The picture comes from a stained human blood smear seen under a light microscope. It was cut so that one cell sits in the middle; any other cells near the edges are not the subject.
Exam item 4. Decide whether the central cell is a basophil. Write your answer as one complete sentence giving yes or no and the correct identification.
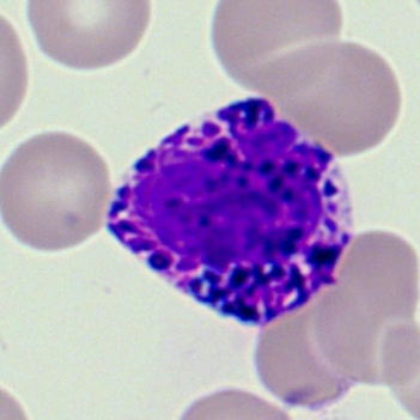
Yes, the cell at the center of the crop is a basophil.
